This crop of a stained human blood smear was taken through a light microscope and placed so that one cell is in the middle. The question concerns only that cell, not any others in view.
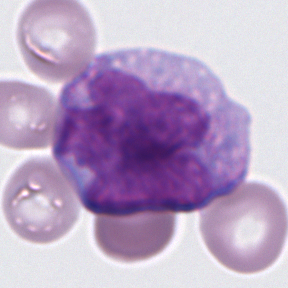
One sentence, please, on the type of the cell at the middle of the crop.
The cell shown in the center of this light-microscope crop is an atypical promyelocyte.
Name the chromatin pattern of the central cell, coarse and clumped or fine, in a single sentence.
Chromatin texture is fine, and coarse clumps are absent.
